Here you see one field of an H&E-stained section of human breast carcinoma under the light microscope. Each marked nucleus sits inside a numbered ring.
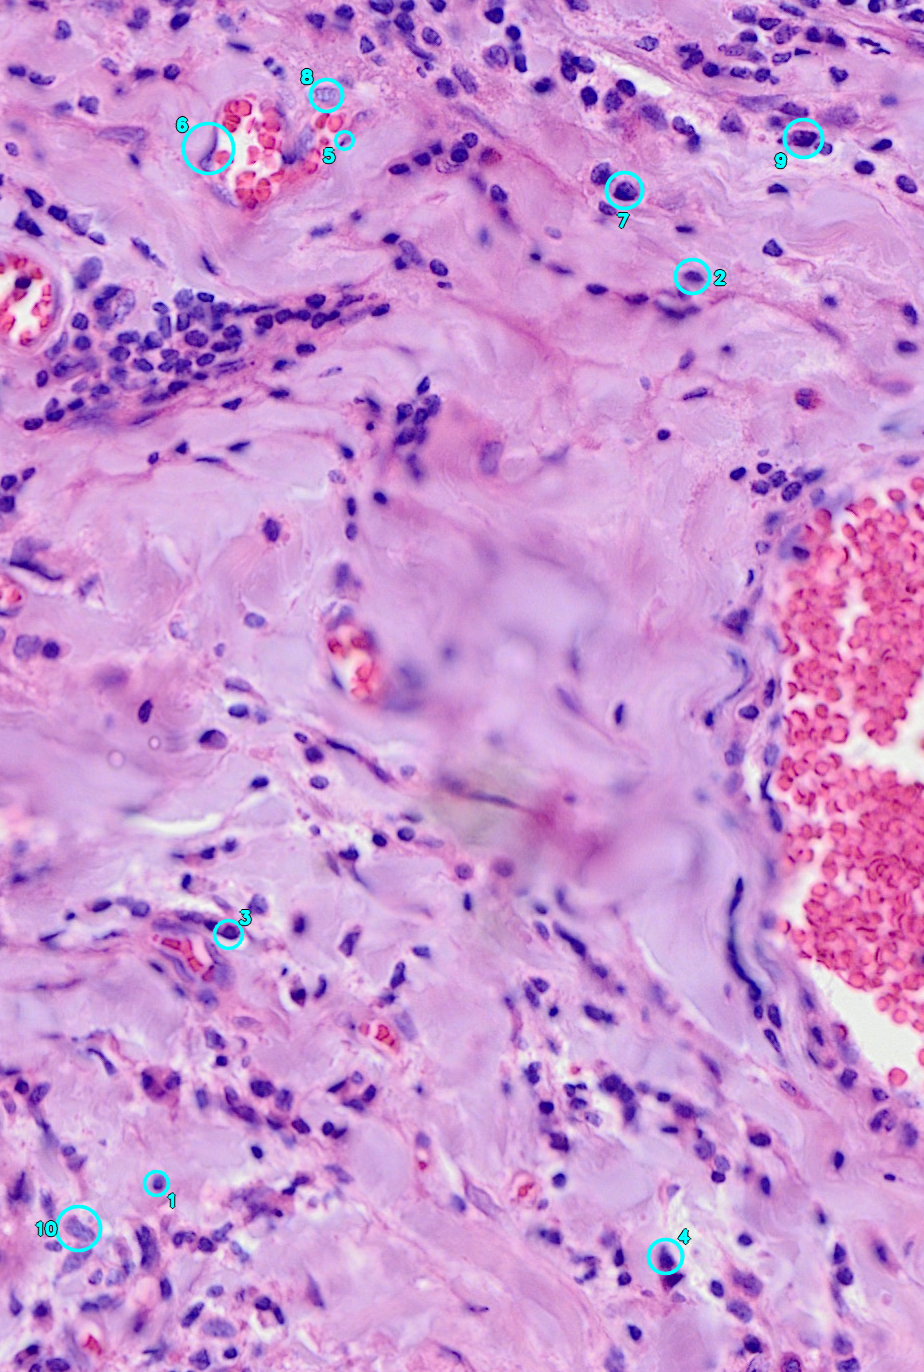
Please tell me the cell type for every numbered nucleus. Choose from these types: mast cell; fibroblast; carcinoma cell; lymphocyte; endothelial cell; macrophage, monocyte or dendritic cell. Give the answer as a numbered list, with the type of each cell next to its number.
1. lymphocyte
2. lymphocyte
3. lymphocyte
4. lymphocyte
5. endothelial cell
6. endothelial cell
7. lymphocyte
8. endothelial cell
9. lymphocyte
10. mast cell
